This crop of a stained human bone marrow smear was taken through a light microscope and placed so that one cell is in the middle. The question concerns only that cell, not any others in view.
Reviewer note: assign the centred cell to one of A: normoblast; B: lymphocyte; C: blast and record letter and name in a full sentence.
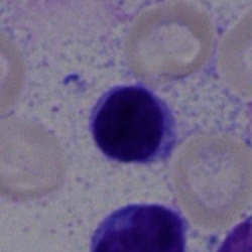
Option B is to be chosen, as the central cell is a lymphocyte.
